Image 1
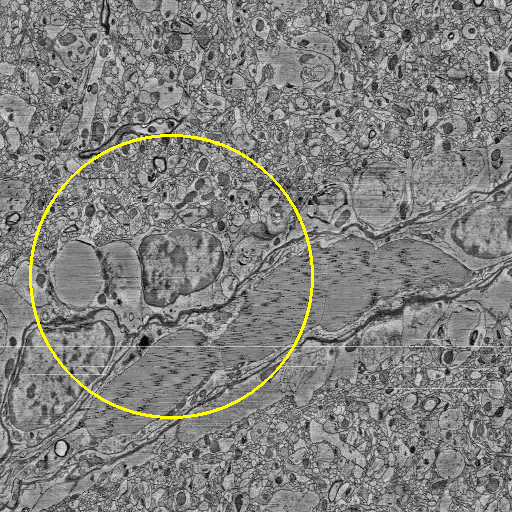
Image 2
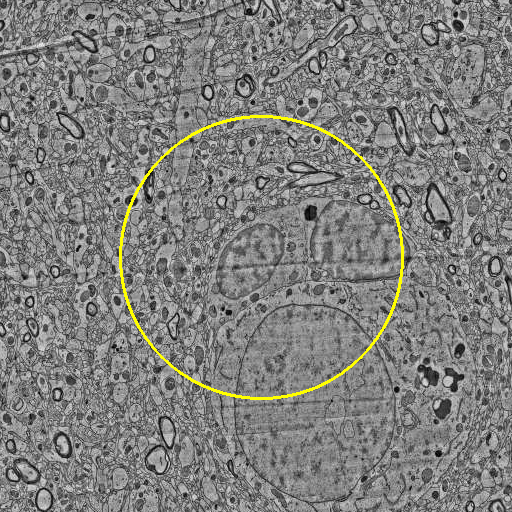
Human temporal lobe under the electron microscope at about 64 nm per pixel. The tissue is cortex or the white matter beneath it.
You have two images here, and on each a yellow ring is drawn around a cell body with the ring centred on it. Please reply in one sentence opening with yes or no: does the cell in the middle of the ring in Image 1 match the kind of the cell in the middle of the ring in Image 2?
No, the two images show cells of two kinds at the centres of their rings.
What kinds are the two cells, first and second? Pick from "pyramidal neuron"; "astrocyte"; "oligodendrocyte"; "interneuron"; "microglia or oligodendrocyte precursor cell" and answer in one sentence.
The second picture holds an oligodendrocyte in its ring, and the first holds a microglial cell or oligodendrocyte precursor cell.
